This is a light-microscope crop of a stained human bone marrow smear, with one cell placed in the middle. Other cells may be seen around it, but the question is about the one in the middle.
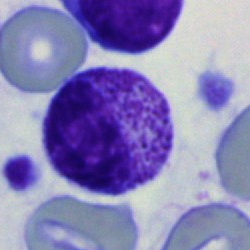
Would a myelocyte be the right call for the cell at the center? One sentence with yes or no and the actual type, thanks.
Yes, the cell shown in the middle is a myelocyte.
